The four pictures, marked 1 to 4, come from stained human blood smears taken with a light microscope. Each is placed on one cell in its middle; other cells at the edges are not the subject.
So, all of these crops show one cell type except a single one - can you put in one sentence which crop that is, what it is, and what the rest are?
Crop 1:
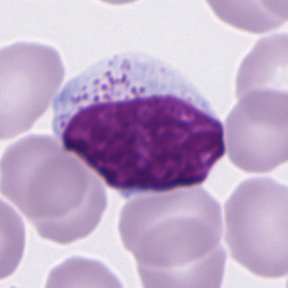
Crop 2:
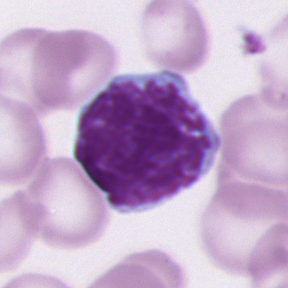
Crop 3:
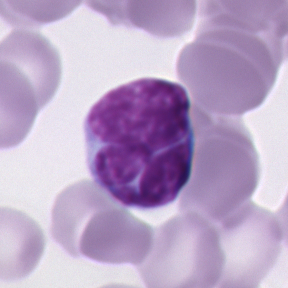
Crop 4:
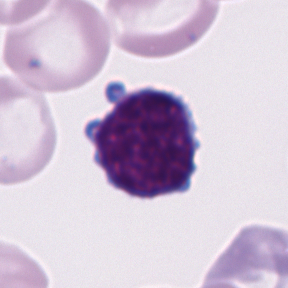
Of these crops, only crop 1 is a large granular lymphocyte; the others are typical lymphocytes.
